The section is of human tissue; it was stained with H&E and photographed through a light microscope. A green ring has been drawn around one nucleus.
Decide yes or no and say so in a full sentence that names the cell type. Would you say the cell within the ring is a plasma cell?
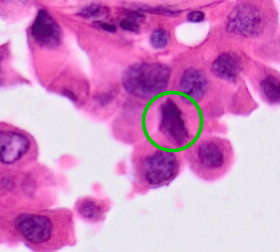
No, the cell within the ring is a carcinoma cell rather than a plasma cell.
